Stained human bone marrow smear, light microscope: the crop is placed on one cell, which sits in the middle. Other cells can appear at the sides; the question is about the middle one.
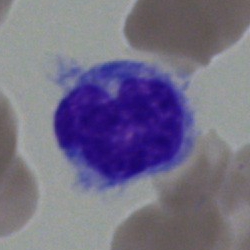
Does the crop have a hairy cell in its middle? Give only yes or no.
no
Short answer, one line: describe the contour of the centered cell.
Around its circumference, the cell has an uneven edge, ragged or projecting in places.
